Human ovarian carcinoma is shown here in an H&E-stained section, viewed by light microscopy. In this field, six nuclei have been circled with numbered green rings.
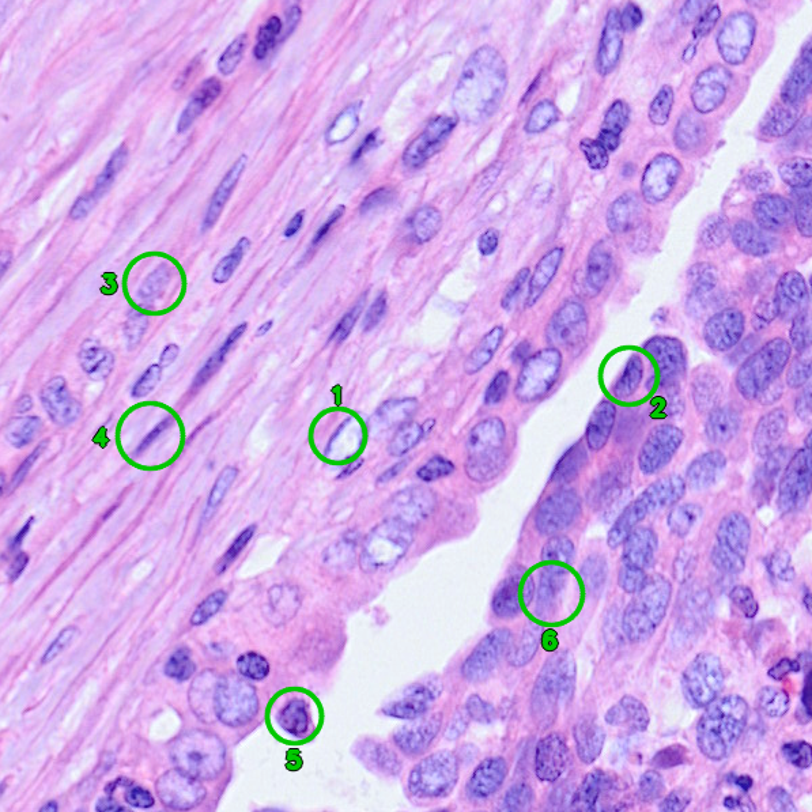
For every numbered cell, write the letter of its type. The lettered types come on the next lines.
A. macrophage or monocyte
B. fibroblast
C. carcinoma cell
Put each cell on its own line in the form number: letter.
1: B
2: C
3: B
4: B
5: A
6: C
